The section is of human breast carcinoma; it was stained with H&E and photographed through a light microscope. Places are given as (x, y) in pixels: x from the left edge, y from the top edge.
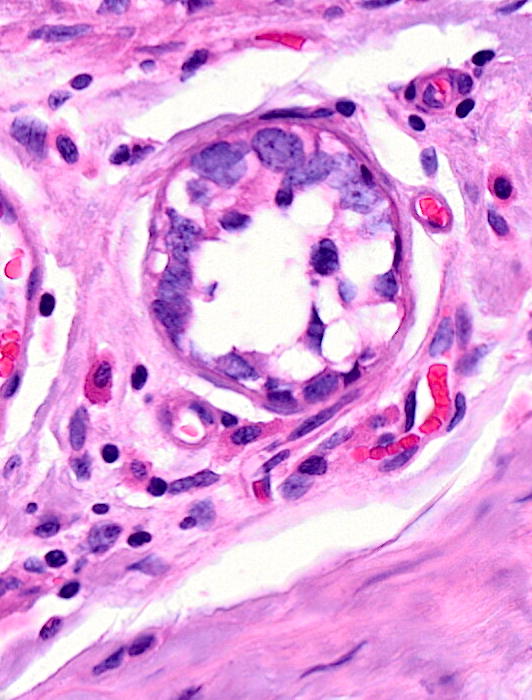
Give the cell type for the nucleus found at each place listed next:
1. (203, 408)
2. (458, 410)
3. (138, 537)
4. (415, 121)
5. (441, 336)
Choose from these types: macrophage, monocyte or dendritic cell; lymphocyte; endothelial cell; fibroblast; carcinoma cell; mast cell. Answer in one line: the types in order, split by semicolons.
endothelial cell; endothelial cell; lymphocyte; lymphocyte; endothelial cell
